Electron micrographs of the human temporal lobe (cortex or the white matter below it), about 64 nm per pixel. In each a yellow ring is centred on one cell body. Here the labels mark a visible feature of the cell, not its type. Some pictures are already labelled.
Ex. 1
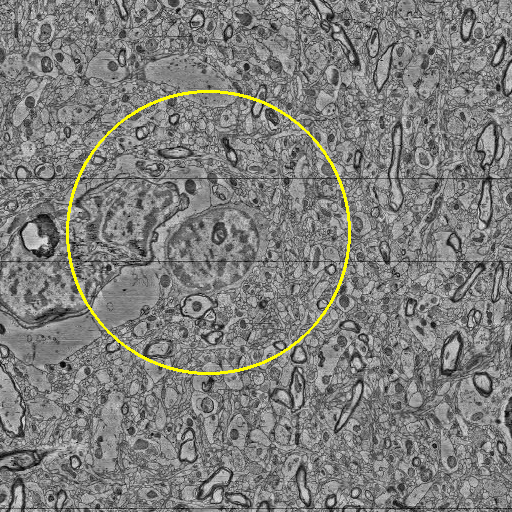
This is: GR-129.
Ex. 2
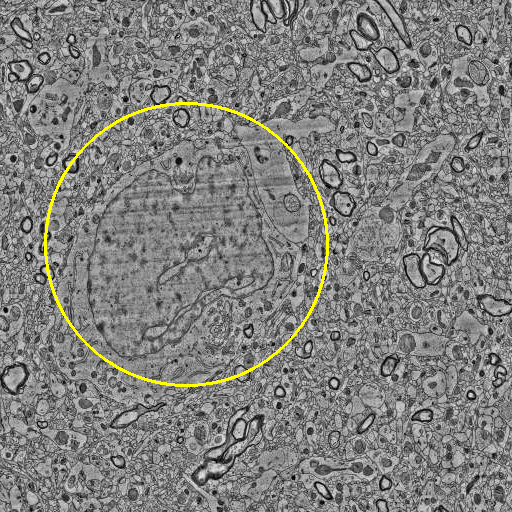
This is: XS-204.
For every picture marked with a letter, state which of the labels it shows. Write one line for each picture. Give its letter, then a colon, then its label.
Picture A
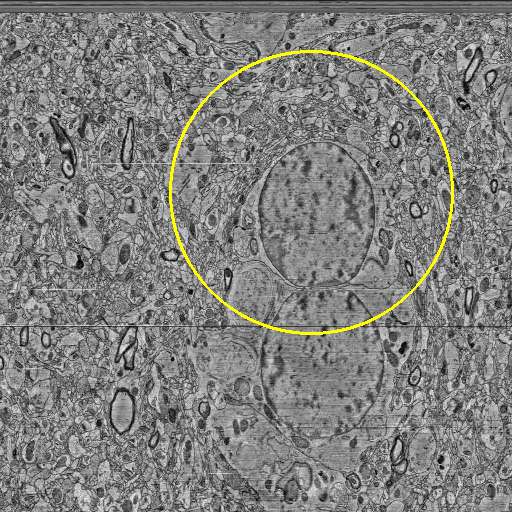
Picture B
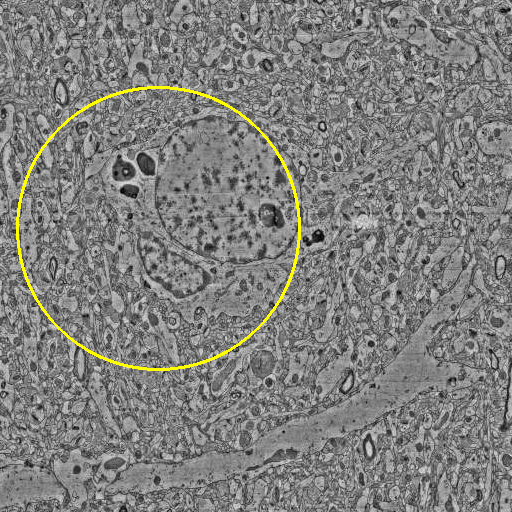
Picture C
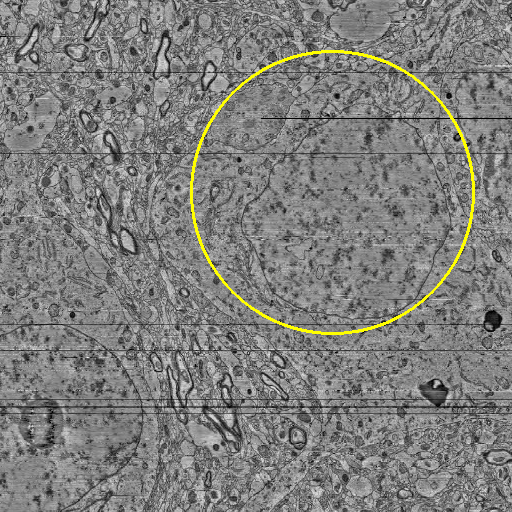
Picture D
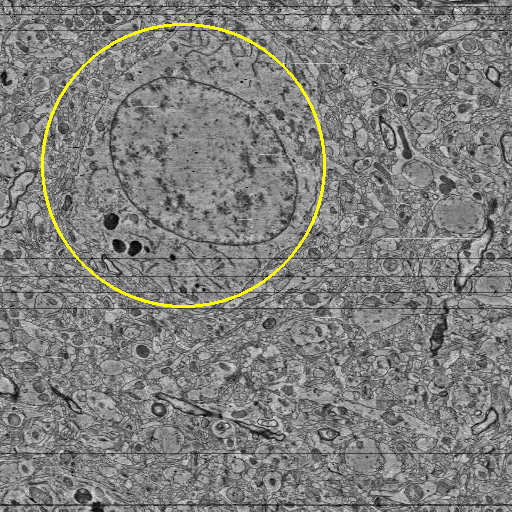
A: XS-204.
B: GR-129.
C: XS-204.
D: XS-204.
